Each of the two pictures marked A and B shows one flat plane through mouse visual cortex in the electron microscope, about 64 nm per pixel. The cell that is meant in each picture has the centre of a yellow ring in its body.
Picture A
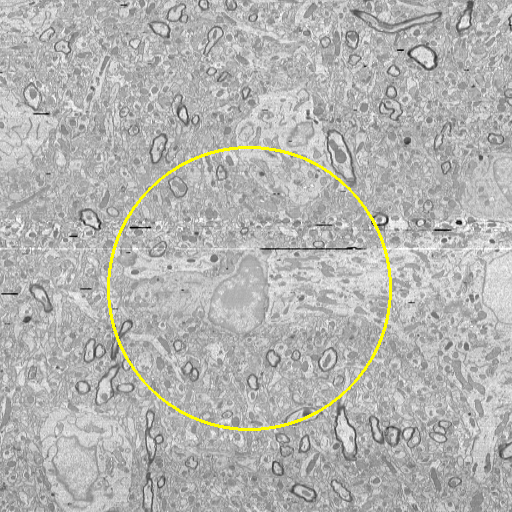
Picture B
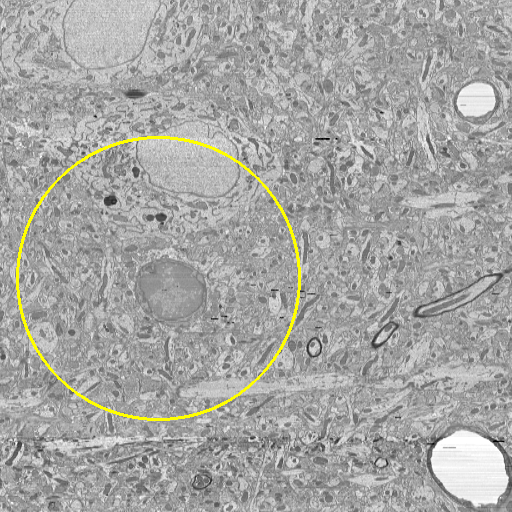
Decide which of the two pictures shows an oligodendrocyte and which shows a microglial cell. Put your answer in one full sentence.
Picture A shows an oligodendrocyte and picture B shows a microglial cell.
